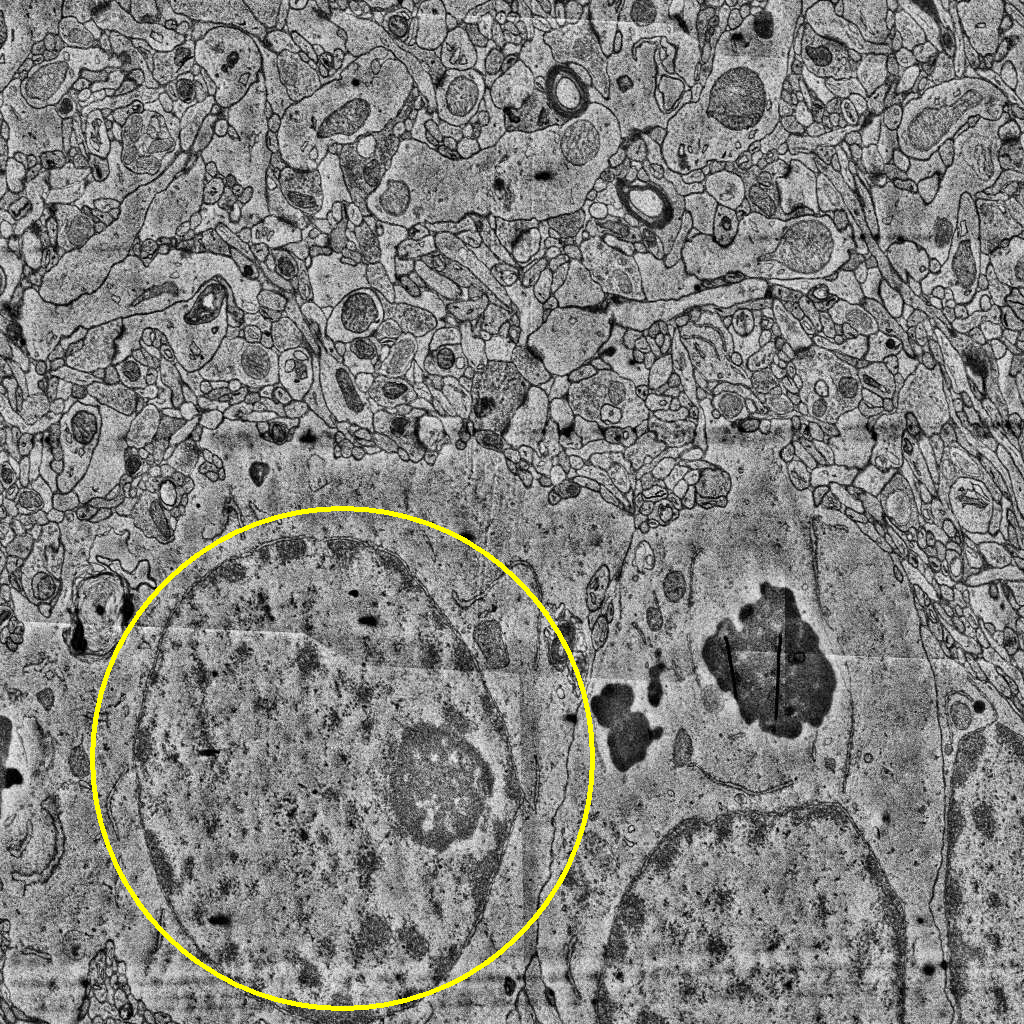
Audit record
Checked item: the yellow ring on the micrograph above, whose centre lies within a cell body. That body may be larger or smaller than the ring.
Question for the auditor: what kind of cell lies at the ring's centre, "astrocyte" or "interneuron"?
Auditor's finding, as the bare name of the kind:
astrocyte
